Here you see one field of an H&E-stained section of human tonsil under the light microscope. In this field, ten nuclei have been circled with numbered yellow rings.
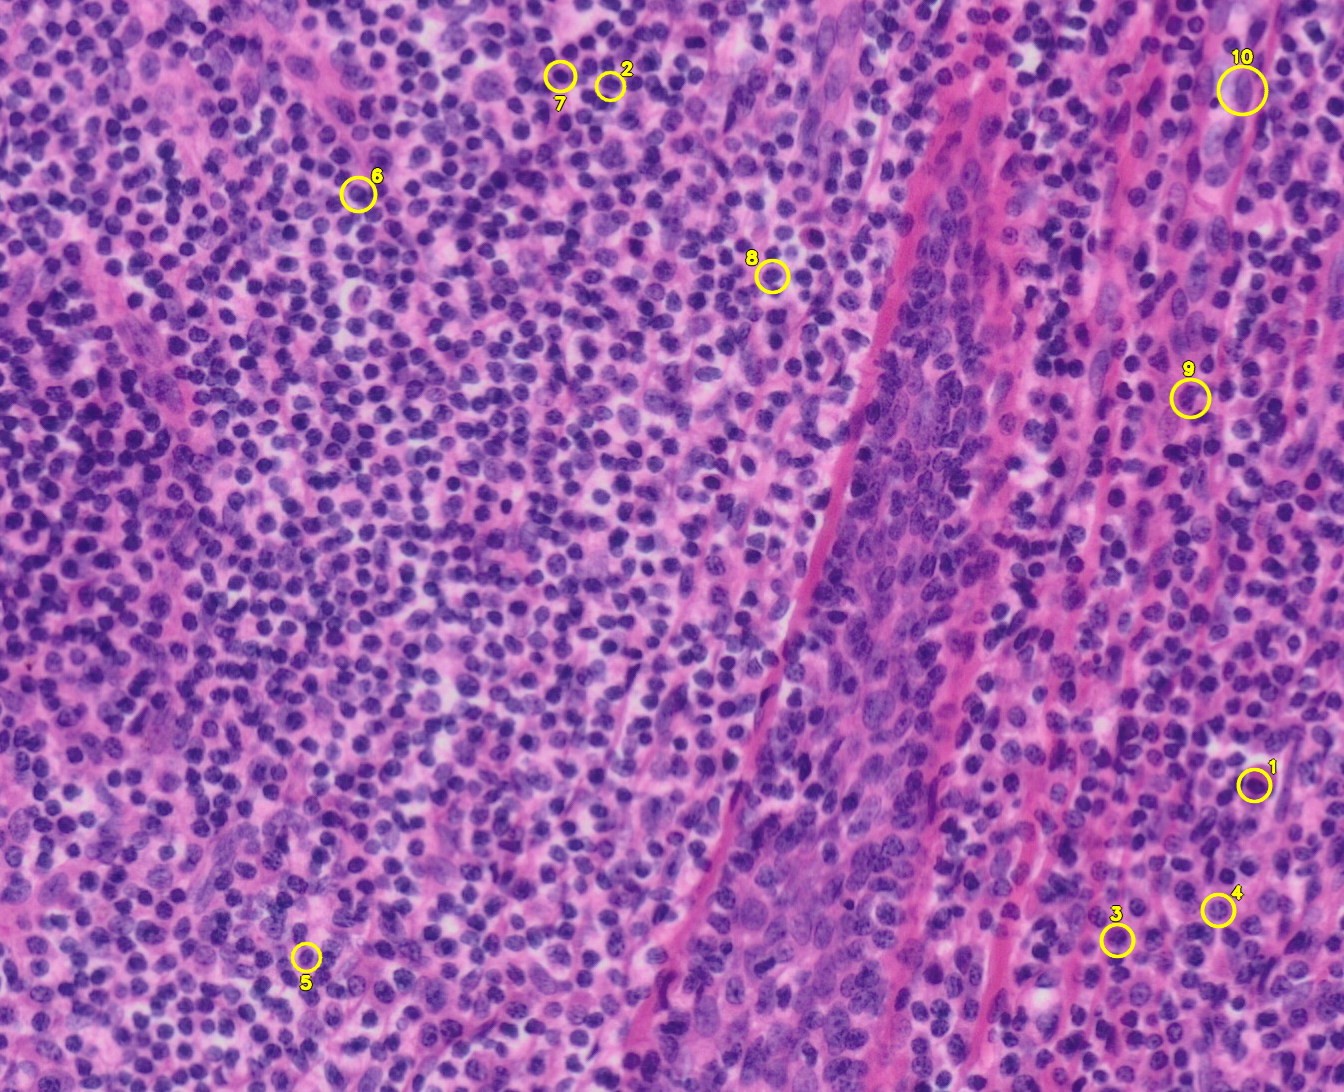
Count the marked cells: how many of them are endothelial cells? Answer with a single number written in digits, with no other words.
2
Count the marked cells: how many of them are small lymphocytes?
5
